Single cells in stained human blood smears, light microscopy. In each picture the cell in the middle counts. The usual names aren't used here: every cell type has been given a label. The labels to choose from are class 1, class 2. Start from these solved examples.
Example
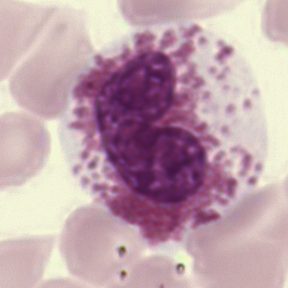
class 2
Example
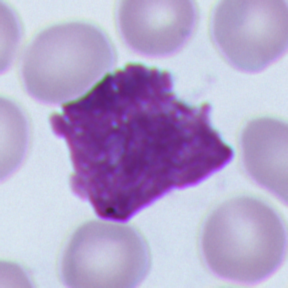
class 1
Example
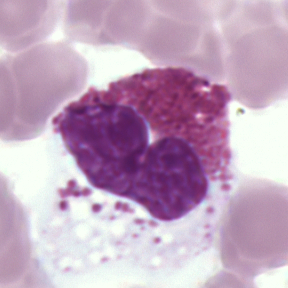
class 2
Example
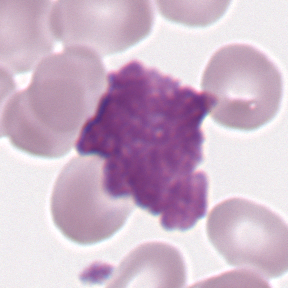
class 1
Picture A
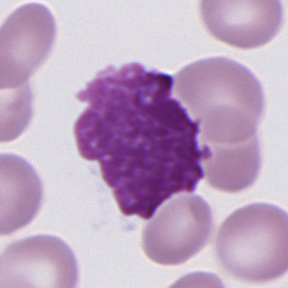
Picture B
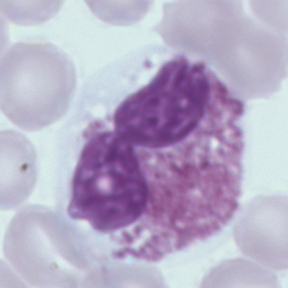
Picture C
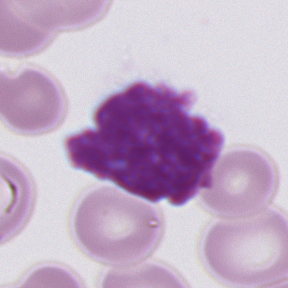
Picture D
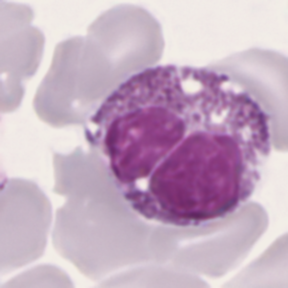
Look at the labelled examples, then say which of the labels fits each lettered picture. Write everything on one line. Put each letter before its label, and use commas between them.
A class 1, B class 2, C class 1, D class 2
